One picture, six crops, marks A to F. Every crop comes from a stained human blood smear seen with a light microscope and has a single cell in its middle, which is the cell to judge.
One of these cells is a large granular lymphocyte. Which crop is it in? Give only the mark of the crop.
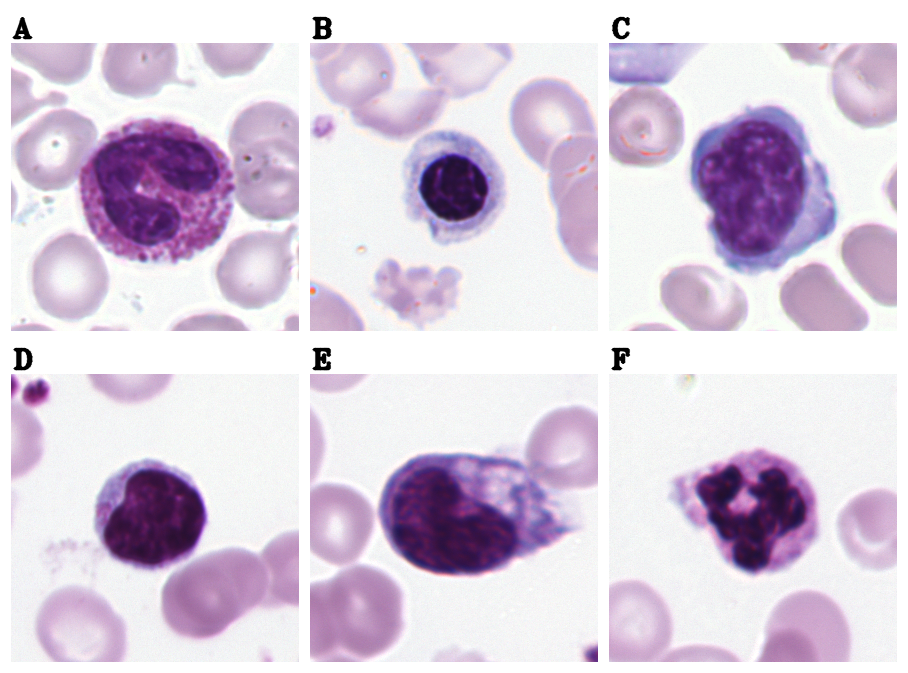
D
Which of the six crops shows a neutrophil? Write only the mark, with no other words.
F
